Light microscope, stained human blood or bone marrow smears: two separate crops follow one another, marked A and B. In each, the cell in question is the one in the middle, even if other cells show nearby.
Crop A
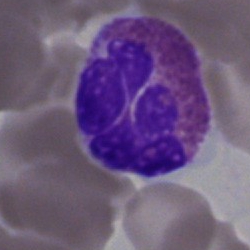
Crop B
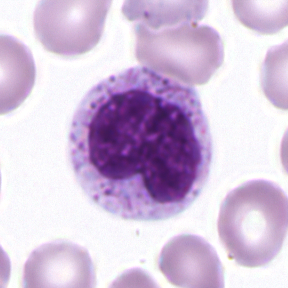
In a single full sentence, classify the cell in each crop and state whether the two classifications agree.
No, what crop A shows is an eosinophil, and what crop B shows is a metamyelocyte.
